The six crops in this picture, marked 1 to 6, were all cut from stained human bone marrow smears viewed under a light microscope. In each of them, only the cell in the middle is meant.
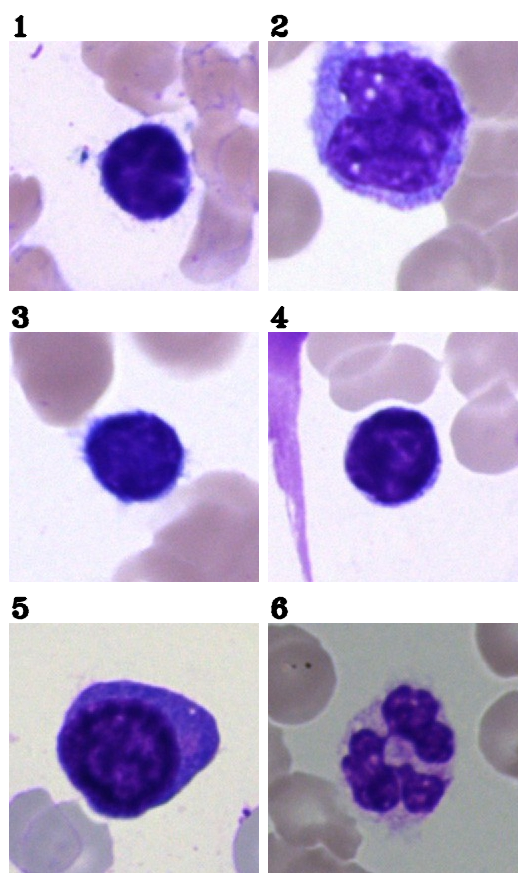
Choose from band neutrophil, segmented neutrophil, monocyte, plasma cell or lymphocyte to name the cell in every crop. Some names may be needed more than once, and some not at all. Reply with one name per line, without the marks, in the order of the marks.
lymphocyte
monocyte
lymphocyte
lymphocyte
plasma cell
segmented neutrophil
